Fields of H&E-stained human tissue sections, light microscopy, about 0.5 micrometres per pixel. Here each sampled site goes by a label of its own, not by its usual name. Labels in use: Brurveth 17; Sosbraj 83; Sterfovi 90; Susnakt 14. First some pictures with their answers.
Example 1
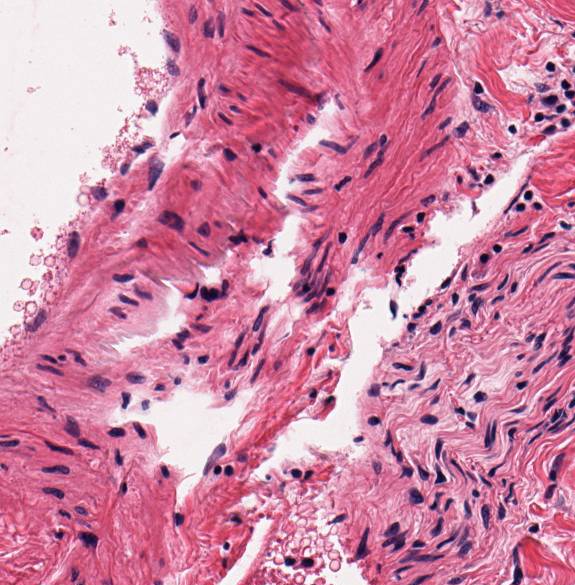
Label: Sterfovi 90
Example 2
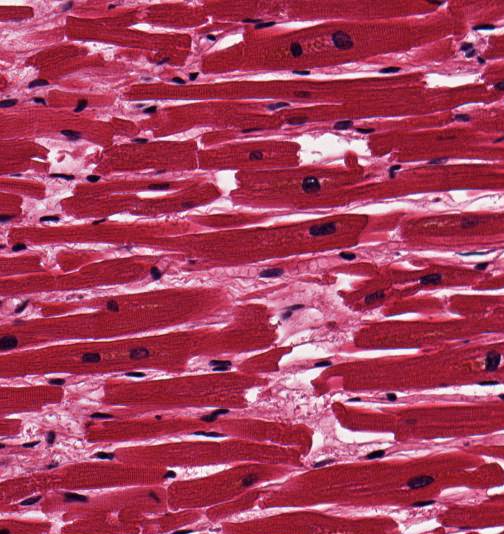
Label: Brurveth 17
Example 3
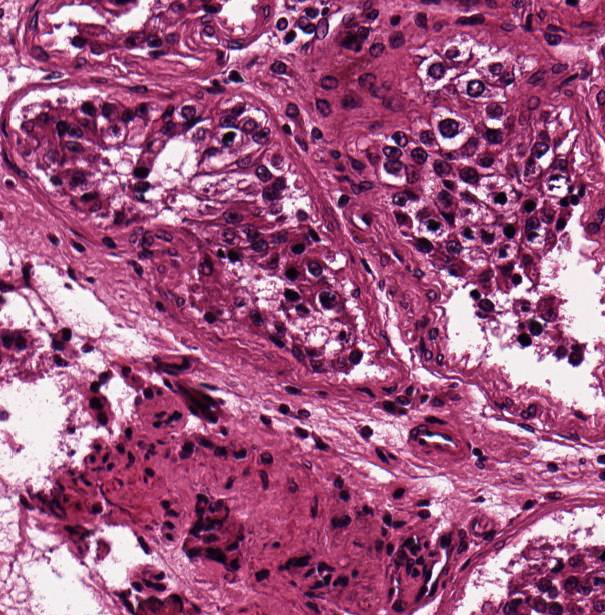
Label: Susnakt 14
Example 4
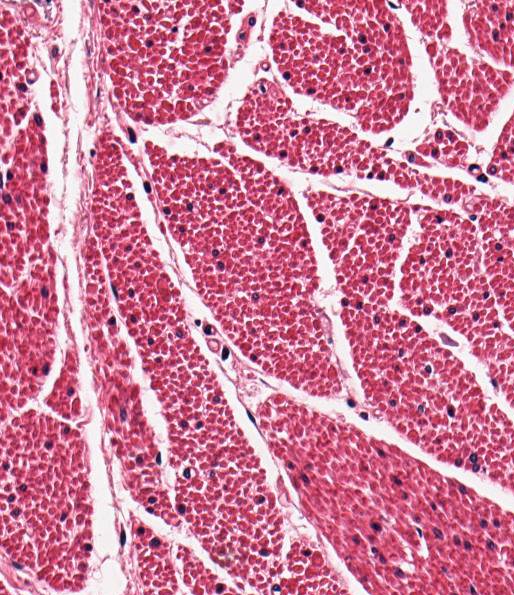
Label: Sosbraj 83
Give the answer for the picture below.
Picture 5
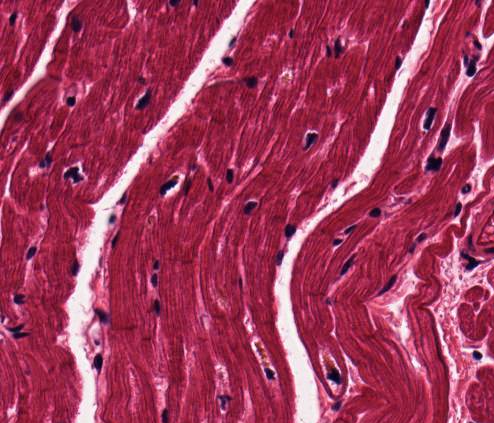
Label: Brurveth 17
